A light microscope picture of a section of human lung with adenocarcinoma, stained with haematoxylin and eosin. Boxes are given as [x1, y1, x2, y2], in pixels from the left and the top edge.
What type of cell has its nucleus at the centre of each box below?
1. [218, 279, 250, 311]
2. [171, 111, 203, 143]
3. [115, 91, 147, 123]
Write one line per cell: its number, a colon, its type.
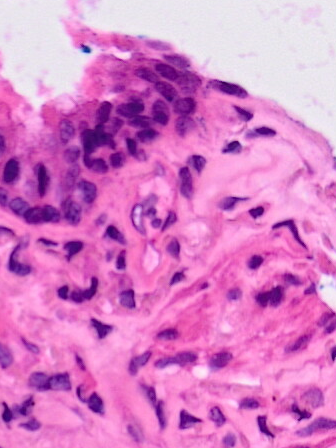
1: smooth muscle cell or pericyte
2: ciliated epithelial cell
3: ciliated epithelial cell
